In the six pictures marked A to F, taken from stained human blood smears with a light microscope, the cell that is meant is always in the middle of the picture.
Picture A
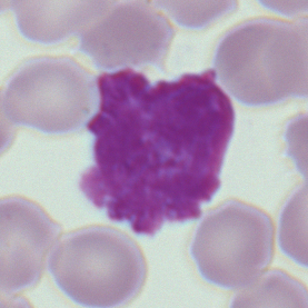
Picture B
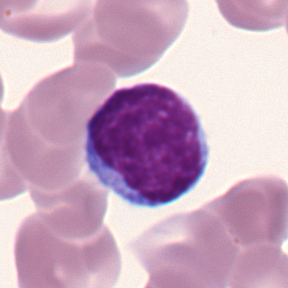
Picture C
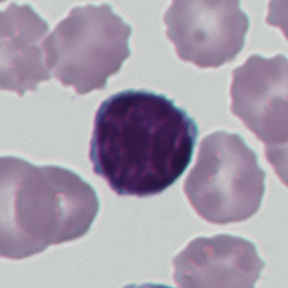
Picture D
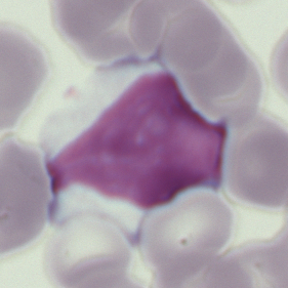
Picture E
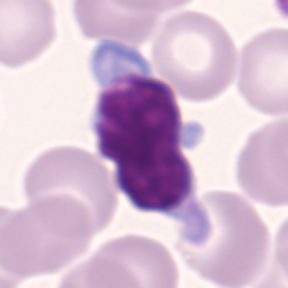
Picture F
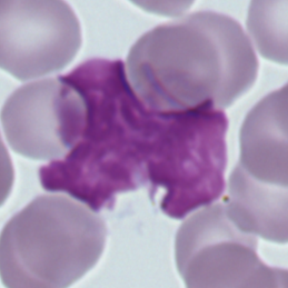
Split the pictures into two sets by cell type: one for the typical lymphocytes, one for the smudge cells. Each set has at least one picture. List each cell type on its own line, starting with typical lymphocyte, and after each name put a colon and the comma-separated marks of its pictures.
typical lymphocyte: B, C, D, E
smudge cell: A, F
